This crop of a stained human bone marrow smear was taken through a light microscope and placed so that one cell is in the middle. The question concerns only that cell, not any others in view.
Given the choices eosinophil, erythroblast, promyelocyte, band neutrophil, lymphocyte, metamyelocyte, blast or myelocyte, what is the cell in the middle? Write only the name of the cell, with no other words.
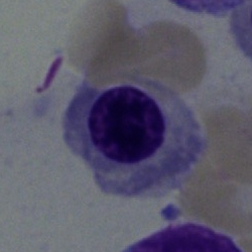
erythroblast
